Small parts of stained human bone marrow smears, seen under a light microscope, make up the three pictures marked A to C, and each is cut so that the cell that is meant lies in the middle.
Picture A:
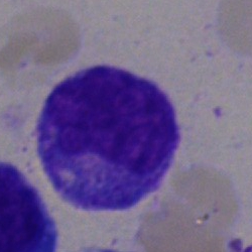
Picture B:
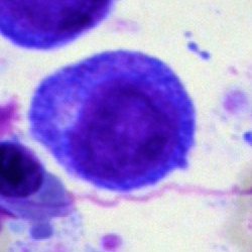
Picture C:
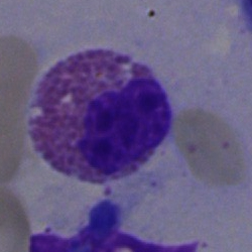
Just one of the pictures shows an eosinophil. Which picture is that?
C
